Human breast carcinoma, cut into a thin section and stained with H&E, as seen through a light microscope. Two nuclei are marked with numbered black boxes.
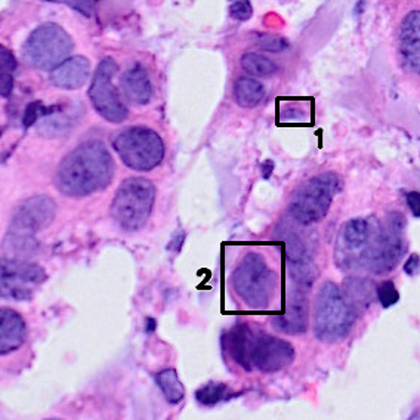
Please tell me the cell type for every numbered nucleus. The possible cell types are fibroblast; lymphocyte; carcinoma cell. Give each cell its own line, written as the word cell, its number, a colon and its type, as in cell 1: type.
cell 1: fibroblast
cell 2: carcinoma cell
